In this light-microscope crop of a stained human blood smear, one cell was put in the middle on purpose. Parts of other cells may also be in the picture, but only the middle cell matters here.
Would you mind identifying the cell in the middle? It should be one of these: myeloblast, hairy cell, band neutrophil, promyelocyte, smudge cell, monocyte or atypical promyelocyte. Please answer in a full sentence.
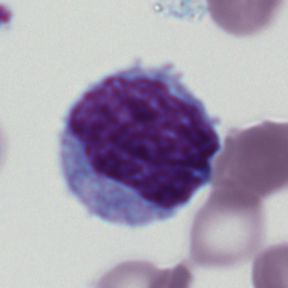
In the center of this field lies a monocyte.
